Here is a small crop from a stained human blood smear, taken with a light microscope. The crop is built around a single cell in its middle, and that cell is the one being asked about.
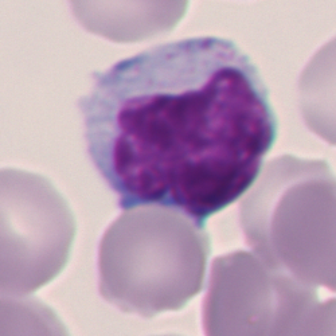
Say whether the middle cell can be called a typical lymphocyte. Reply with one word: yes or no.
yes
